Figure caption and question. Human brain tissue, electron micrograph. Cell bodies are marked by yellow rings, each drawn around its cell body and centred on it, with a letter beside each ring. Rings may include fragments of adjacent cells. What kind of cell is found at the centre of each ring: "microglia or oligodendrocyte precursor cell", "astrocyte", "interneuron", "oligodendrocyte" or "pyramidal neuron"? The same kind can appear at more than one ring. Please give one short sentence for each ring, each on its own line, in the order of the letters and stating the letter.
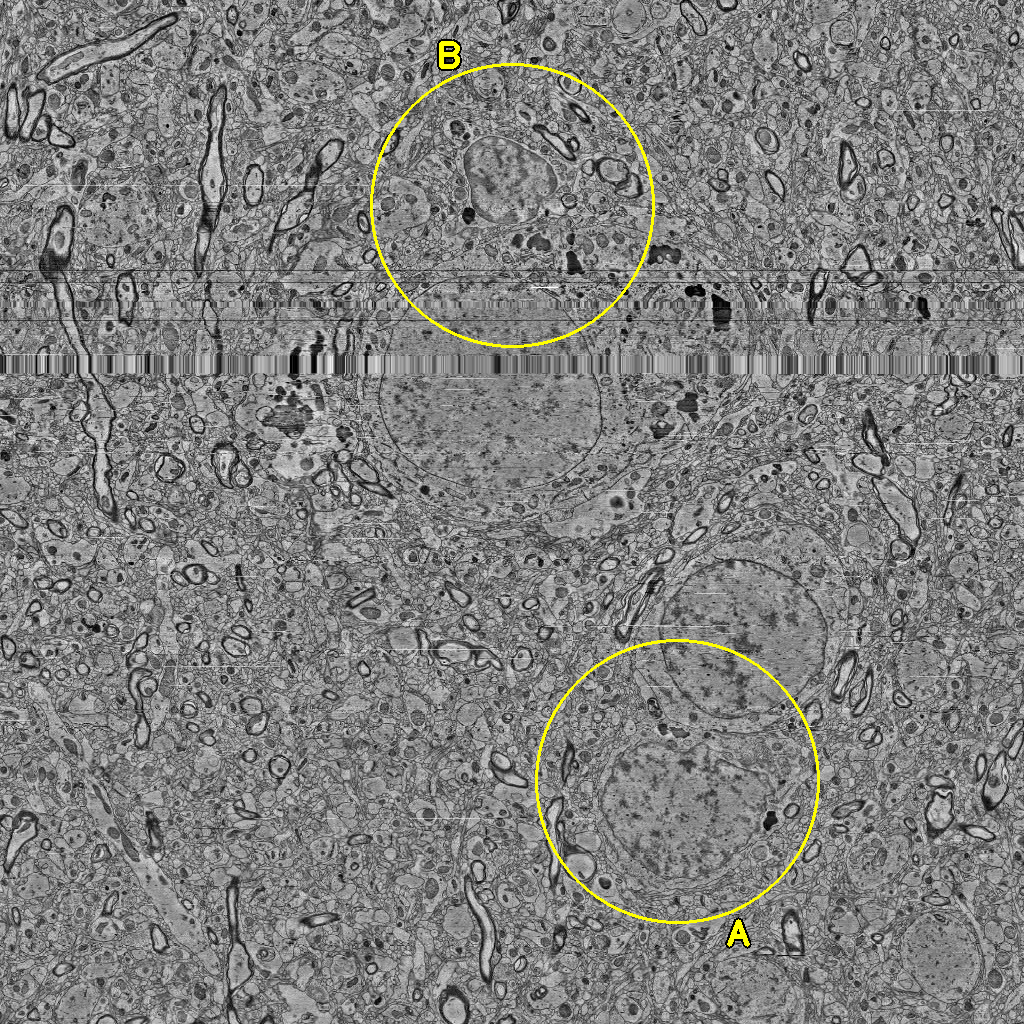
The centre of ring A falls on an interneuron.
The centre of ring B falls on a microglial cell or oligodendrocyte precursor cell.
